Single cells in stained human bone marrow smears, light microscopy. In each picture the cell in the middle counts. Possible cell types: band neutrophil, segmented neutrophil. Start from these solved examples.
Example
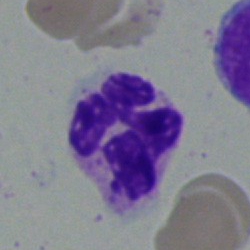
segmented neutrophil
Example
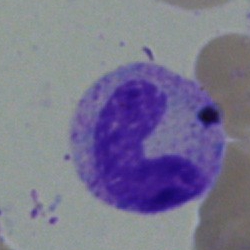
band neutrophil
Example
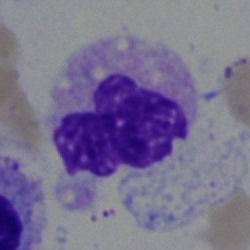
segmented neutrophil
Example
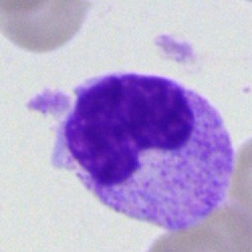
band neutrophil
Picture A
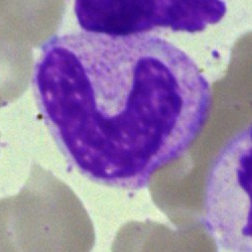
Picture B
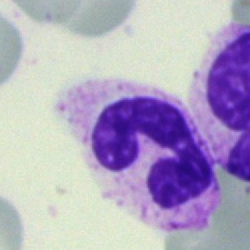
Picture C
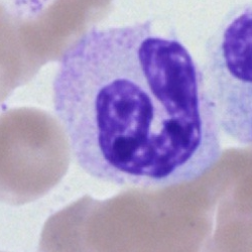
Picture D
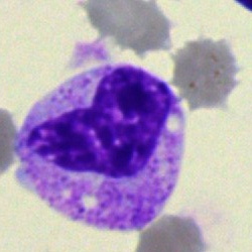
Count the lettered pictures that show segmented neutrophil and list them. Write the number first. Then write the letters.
Count: 1 (B)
